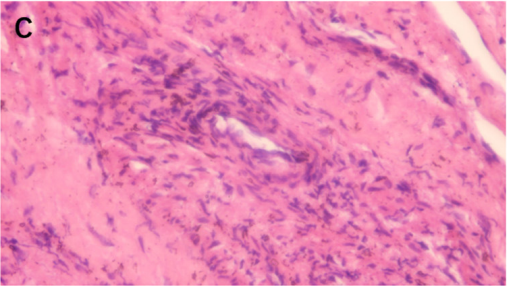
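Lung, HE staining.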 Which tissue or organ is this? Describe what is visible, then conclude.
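Dense pale pink fibrous matrix dominates the field. So: sclerosing area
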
